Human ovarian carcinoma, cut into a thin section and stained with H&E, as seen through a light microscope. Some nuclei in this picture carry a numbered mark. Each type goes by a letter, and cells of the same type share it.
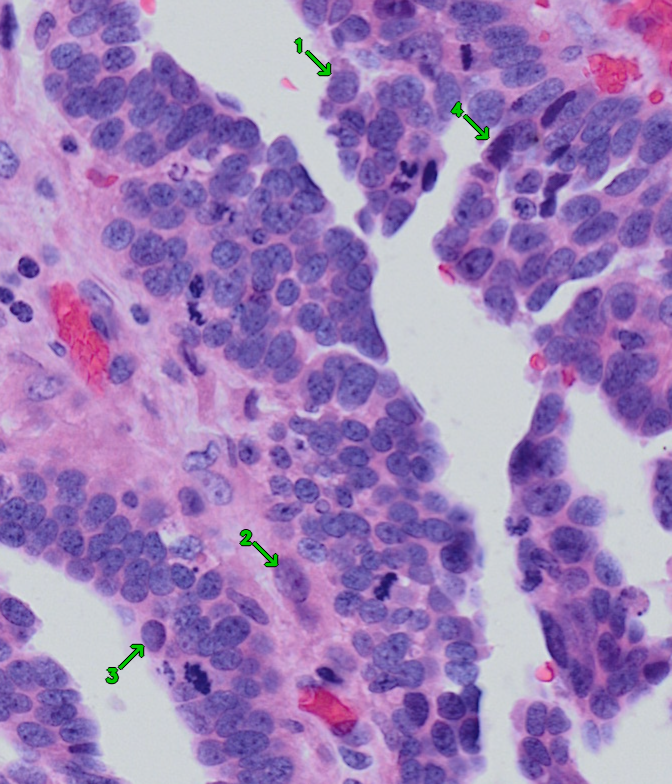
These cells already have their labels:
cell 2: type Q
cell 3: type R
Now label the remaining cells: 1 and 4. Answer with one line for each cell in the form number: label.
1: type R
4: type R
